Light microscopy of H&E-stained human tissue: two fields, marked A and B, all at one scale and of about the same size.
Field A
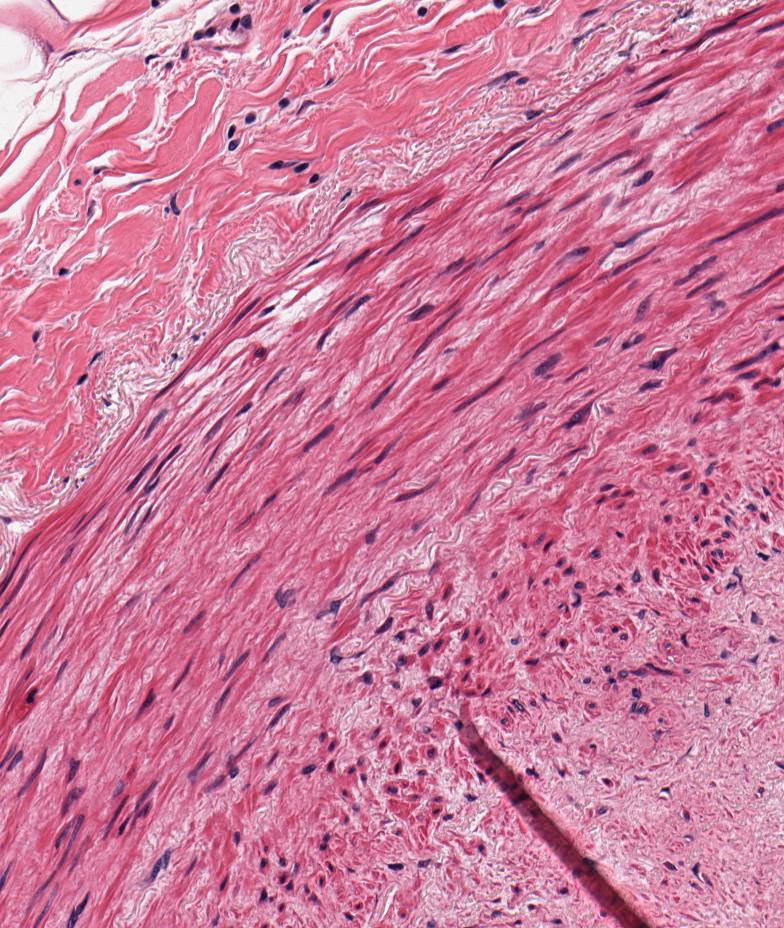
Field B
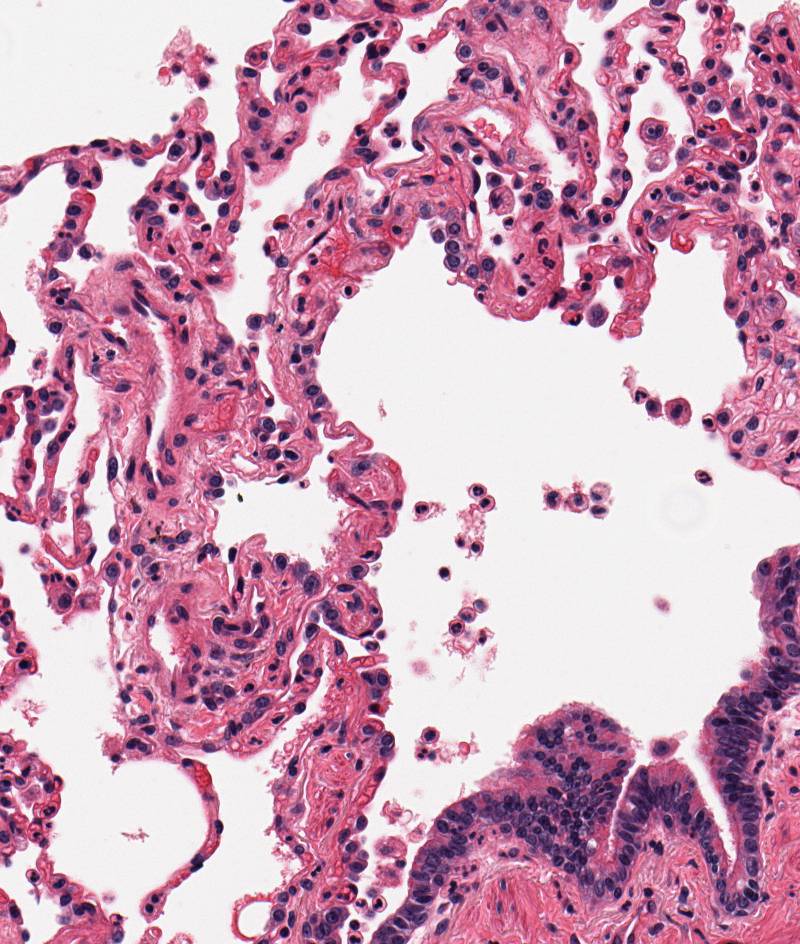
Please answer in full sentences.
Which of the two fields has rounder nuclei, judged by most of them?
The nuclei are rounder in field B.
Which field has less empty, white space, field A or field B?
It is field A that stained tissue fills more completely.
